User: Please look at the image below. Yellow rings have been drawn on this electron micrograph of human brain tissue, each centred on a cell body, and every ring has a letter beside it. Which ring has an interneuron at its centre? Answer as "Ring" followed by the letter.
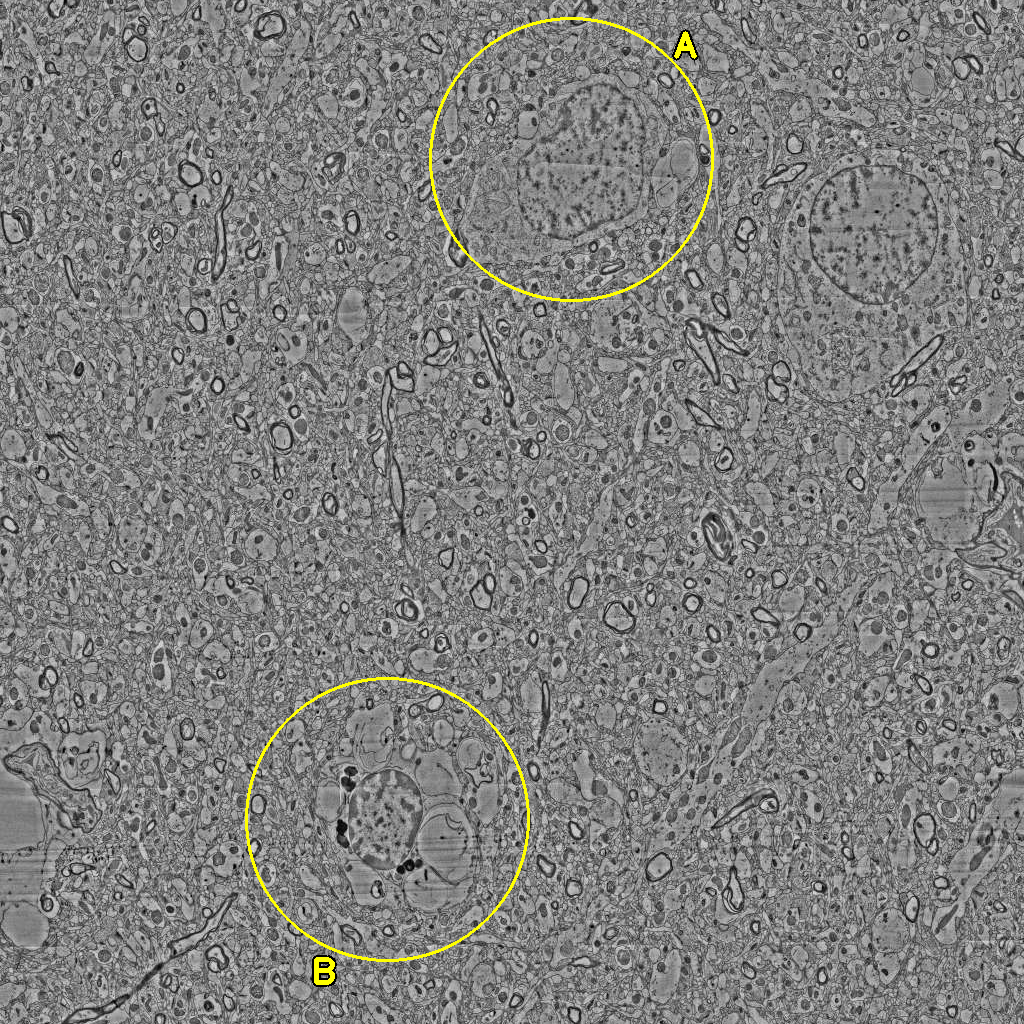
Ring A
